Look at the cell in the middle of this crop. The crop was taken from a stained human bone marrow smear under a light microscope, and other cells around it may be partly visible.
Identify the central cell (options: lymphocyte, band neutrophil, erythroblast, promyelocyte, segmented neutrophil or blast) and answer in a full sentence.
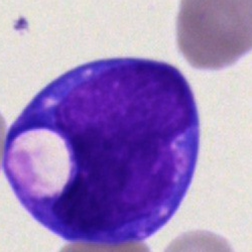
The cell around which this crop is centred is a blast.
